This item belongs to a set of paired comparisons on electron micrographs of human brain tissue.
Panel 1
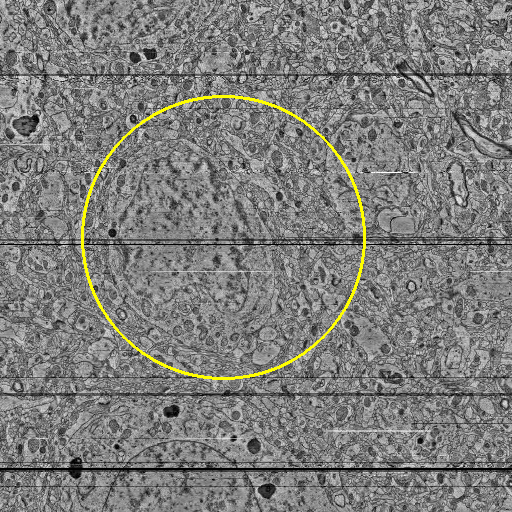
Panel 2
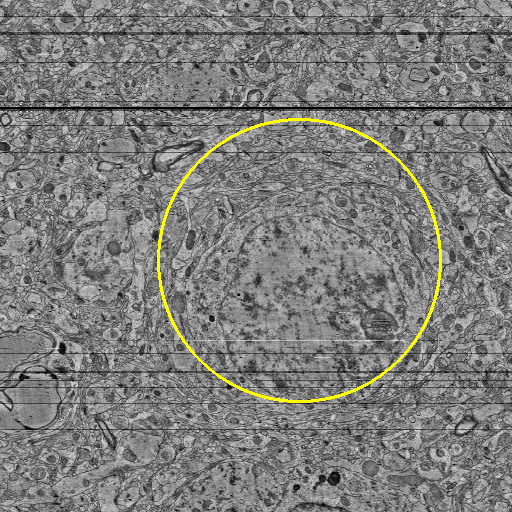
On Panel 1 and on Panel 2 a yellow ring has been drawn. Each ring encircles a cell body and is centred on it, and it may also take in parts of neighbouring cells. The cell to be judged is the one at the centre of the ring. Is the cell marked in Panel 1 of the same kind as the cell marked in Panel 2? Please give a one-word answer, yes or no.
yes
